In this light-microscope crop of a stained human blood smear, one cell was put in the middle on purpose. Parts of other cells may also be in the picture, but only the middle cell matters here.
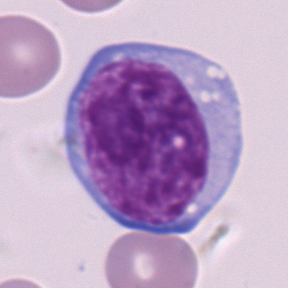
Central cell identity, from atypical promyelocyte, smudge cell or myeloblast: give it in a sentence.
At the center of the crop sits a myeloblast.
